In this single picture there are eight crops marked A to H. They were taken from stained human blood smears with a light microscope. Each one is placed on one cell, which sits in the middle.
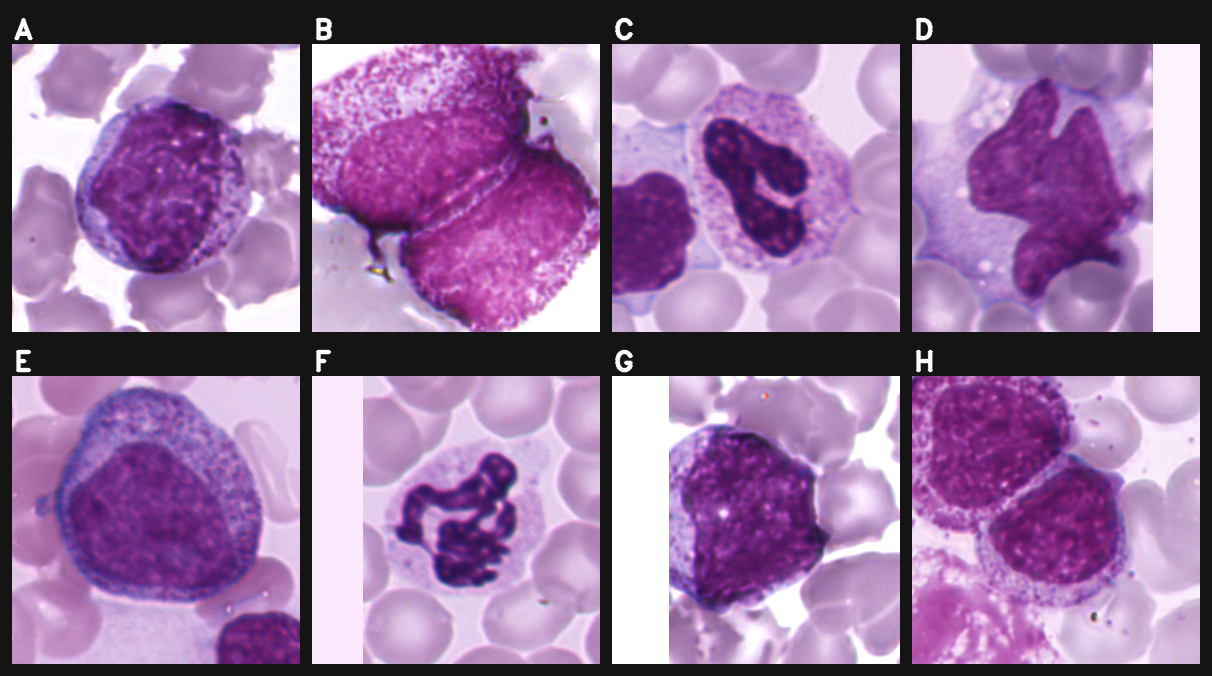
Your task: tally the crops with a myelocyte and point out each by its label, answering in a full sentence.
The tally is four crops with myelocytes: A, B, G and H.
